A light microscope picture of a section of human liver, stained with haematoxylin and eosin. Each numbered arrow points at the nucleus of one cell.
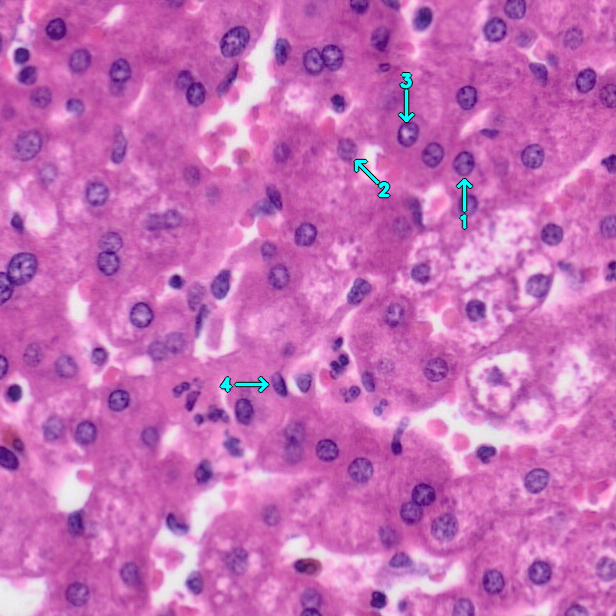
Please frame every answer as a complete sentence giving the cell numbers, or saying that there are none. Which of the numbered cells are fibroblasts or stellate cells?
Among the numbered cells, the one that is a fibroblast or stellate cell is cell 4 alone.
